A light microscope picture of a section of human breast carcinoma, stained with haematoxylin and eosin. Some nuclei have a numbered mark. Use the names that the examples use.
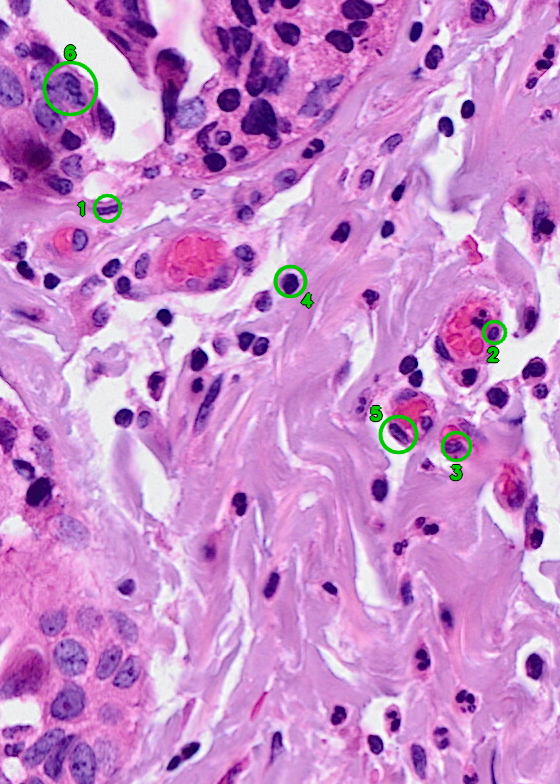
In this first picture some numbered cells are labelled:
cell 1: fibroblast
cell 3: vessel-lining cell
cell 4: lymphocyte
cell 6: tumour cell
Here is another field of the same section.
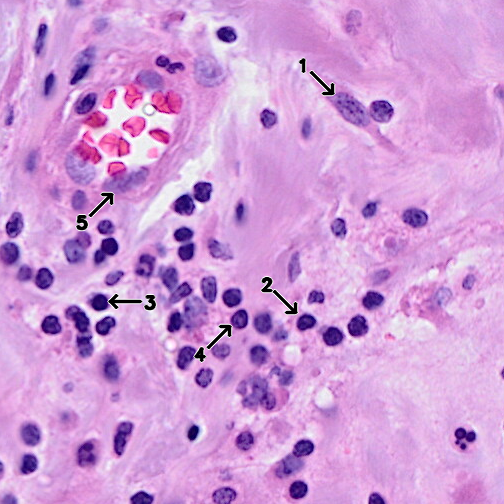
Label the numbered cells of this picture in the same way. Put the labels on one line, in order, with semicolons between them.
fibroblast; lymphocyte; lymphocyte; lymphocyte; vessel-lining cell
